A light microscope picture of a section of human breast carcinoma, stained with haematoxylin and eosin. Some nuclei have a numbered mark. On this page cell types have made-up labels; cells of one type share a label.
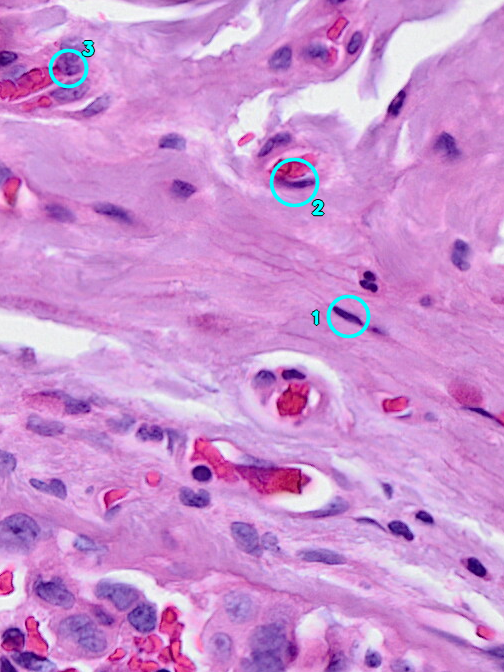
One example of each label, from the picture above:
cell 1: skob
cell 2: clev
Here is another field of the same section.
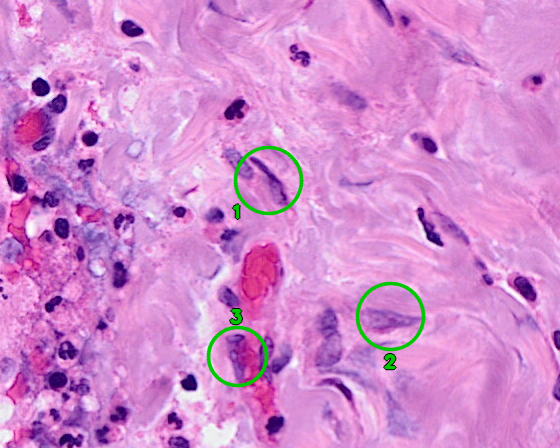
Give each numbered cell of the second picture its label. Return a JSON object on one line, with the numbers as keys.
{"1": "skob", "2": "skob", "3": "clev"}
